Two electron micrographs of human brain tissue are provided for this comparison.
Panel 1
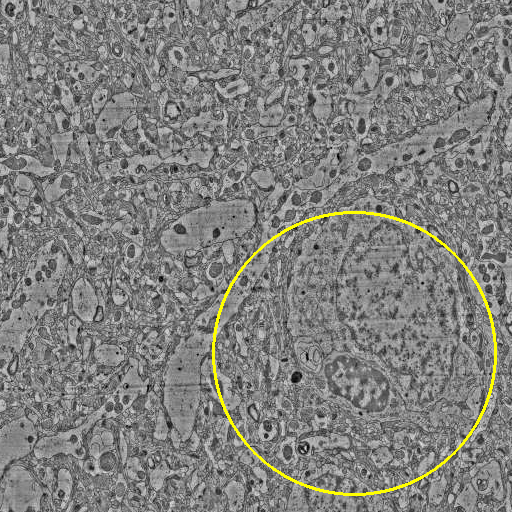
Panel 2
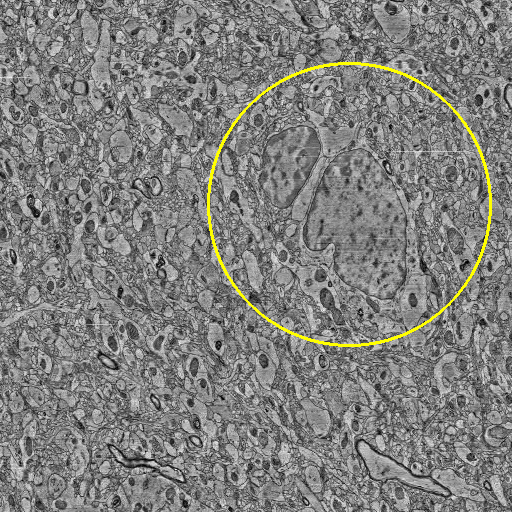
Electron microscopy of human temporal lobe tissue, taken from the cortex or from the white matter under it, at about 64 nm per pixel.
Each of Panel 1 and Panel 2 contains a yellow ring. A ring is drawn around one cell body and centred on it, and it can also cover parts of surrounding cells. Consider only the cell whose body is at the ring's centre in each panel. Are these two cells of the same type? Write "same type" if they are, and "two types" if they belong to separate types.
same type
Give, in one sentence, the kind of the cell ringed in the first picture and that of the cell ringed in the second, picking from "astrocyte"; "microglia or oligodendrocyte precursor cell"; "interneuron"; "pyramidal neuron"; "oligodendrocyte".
Each one of the two ringed cells is a microglial cell or oligodendrocyte precursor cell.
